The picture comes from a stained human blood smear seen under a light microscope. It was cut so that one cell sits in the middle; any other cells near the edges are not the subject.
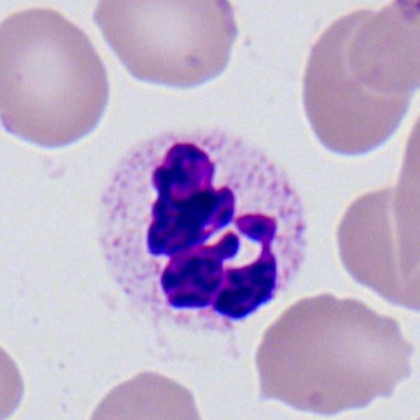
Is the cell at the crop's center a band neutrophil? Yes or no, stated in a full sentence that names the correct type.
No, the central cell should be identified as a segmented neutrophil, not as a band neutrophil.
